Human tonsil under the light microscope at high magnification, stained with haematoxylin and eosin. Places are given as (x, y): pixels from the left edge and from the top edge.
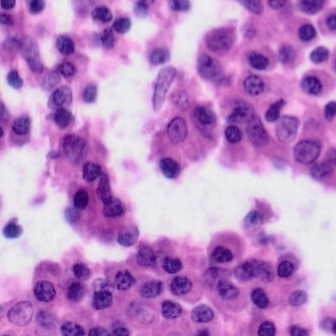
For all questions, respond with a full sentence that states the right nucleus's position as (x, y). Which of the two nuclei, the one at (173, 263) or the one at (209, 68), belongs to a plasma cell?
The nucleus that belongs to a plasma cell sits at (173, 263).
